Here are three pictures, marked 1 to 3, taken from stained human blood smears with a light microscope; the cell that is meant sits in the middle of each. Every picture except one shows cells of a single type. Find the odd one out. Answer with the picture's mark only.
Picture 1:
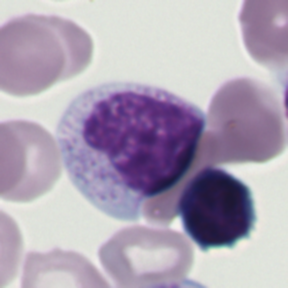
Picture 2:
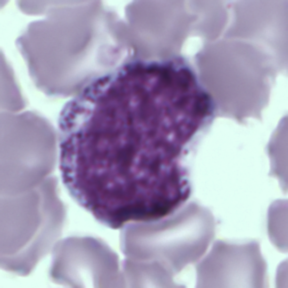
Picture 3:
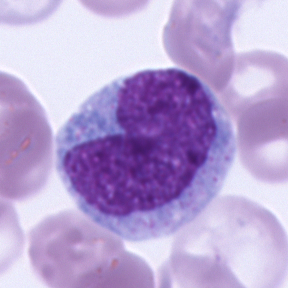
3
